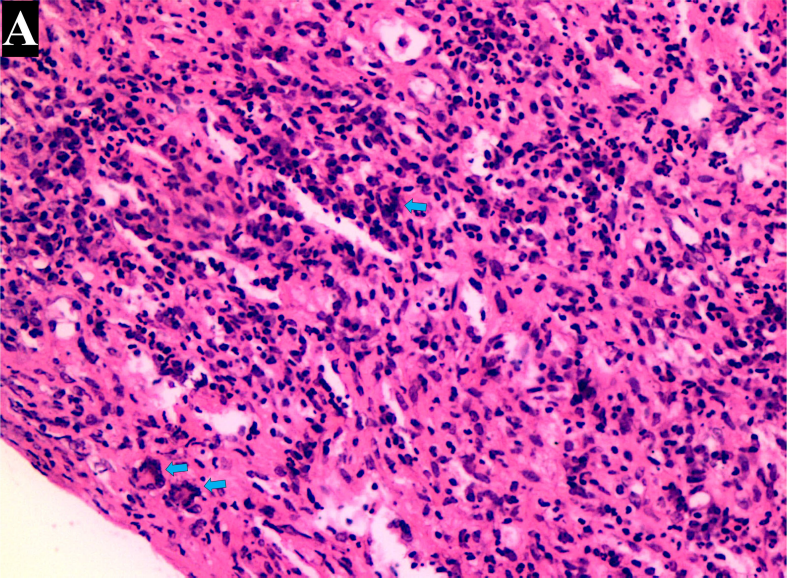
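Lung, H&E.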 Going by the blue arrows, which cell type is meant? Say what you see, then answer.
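The arrows at lower left point to large cells with several dark nuclei gathered in one mass of pink cytoplasm. These cells are much larger than the surrounding small round cells.
Multinucleated giant cells.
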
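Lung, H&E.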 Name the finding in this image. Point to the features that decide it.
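The field is densely packed with small dark round nuclei. Elongated and oval paler nuclei lie among them in pink connective tissue.
Answer: extensive inflammatory infiltration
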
